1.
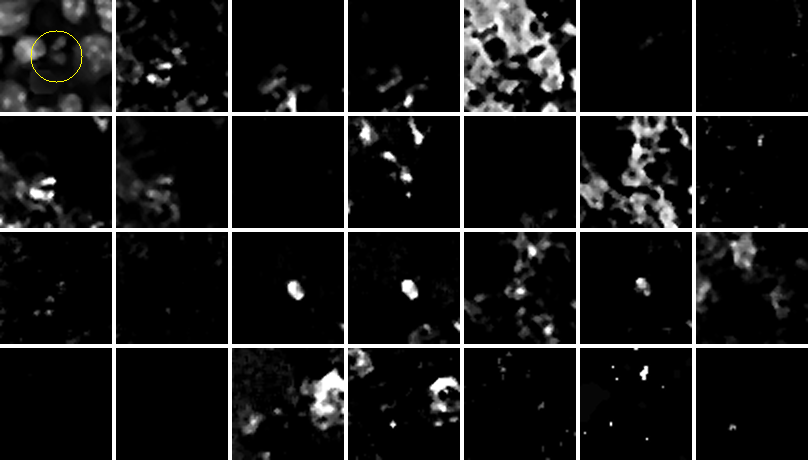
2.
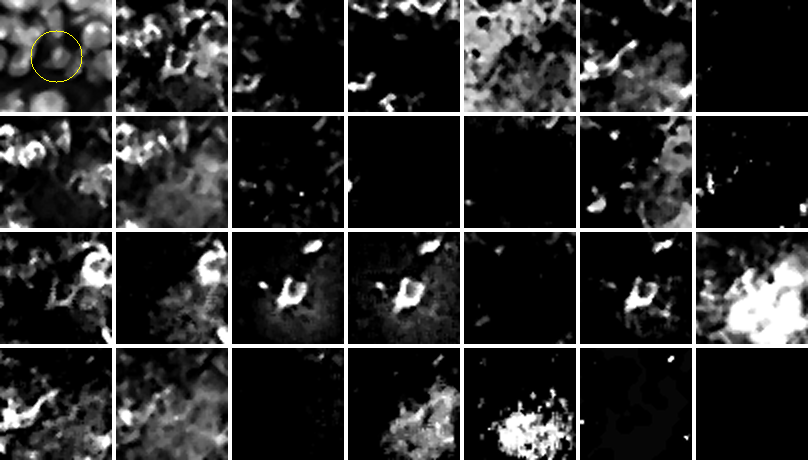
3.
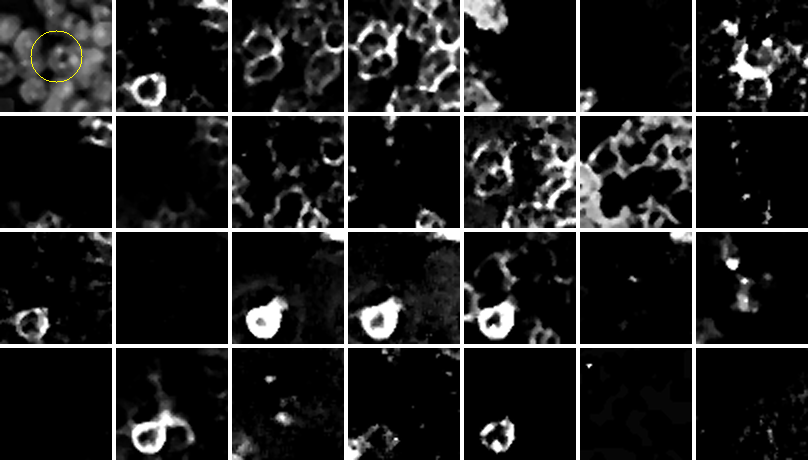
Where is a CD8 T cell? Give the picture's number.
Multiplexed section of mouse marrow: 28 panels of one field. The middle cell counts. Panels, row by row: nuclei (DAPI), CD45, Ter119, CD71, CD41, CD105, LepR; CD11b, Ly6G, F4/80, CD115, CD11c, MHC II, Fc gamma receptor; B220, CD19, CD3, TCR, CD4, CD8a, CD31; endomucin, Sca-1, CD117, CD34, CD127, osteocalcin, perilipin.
2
